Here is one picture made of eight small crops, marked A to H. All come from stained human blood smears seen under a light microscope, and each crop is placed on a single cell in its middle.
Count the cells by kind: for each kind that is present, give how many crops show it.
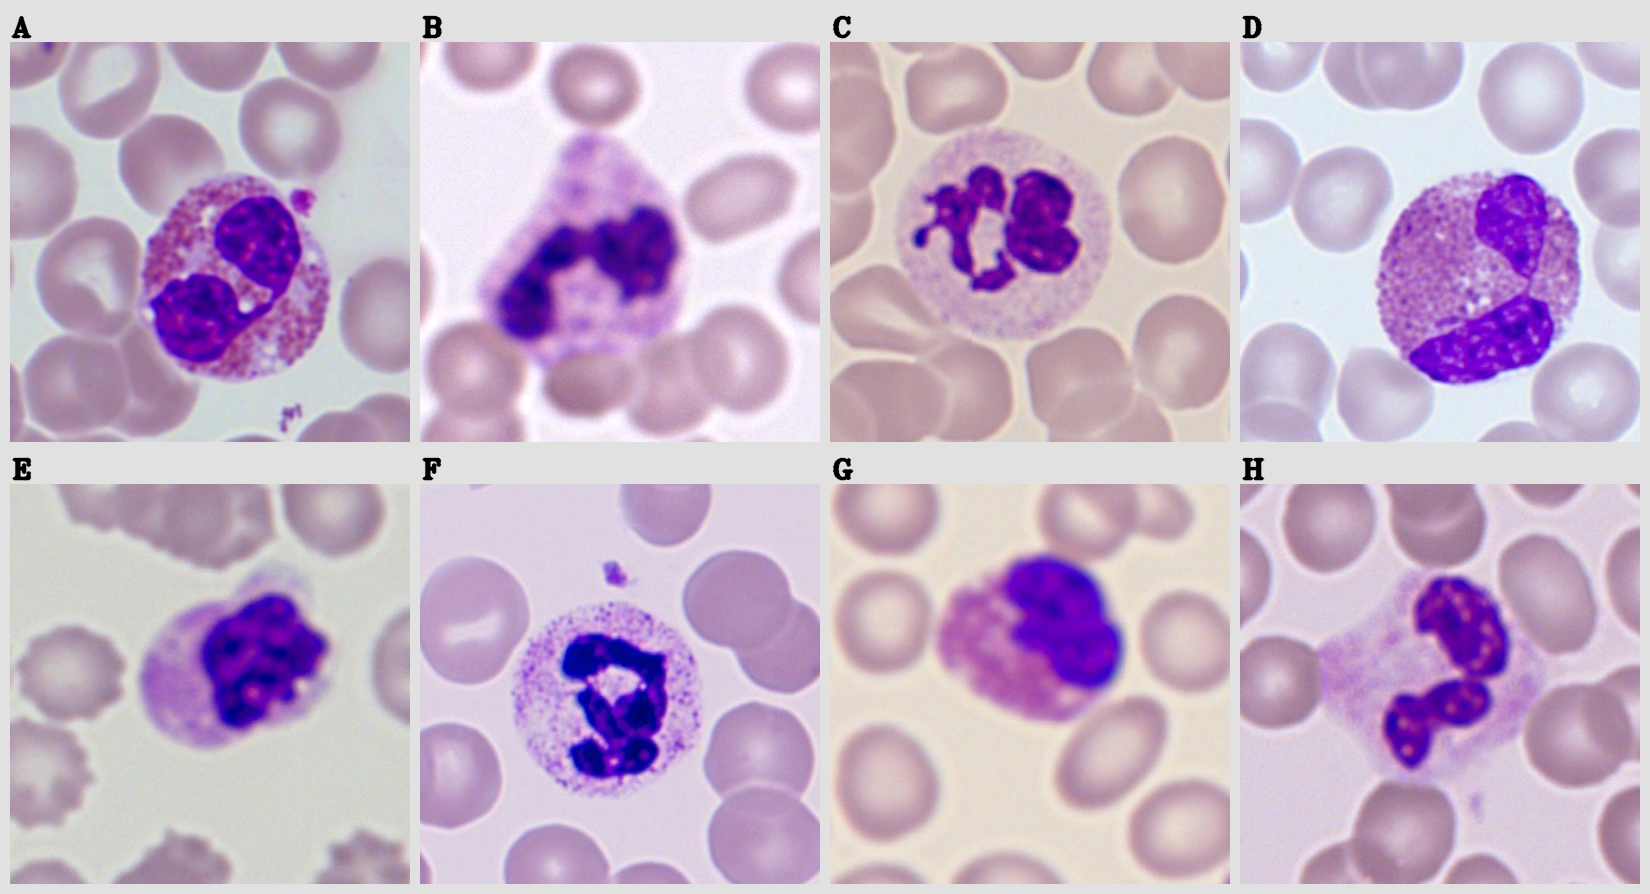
neutrophil: 5
eosinophil: 3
